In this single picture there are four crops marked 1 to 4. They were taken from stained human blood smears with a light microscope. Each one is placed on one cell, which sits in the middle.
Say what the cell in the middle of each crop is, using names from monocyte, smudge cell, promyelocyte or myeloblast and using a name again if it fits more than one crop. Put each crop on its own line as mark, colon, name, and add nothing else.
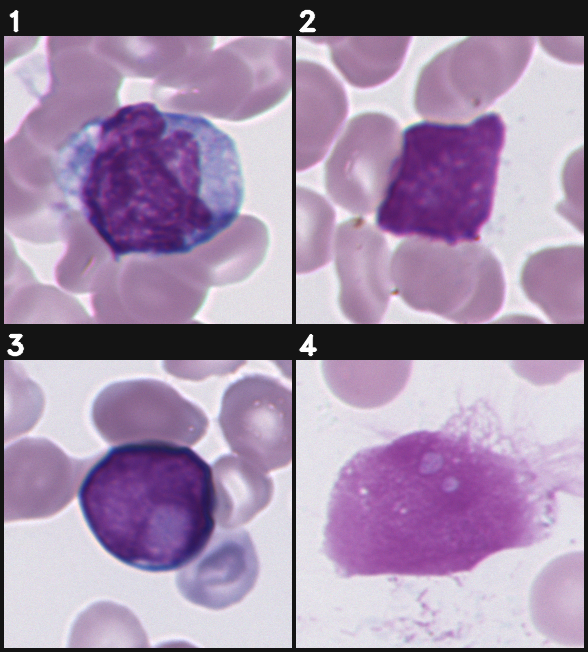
1: monocyte
2: smudge cell
3: myeloblast
4: smudge cell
